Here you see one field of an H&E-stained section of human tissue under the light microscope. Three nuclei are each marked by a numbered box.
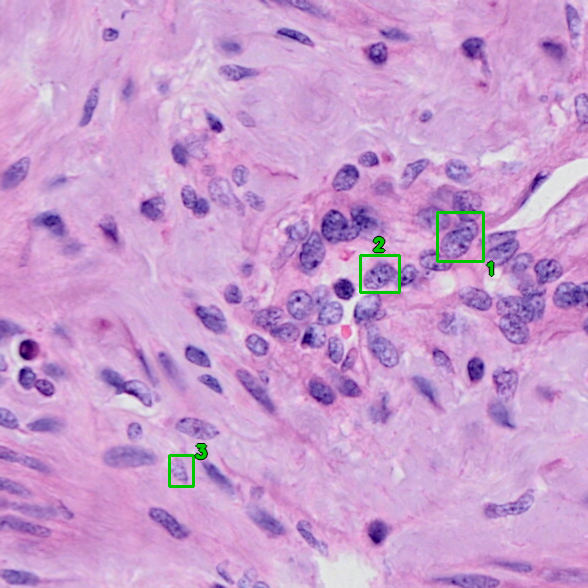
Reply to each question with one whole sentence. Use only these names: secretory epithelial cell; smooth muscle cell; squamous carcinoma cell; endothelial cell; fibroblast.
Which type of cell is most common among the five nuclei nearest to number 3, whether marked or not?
Most of the five nuclei nearest to number 3 are those of fibroblasts.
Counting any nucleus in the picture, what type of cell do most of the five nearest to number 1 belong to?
The majority of the five nuclei closest to number 1 belong to endothelial cells.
